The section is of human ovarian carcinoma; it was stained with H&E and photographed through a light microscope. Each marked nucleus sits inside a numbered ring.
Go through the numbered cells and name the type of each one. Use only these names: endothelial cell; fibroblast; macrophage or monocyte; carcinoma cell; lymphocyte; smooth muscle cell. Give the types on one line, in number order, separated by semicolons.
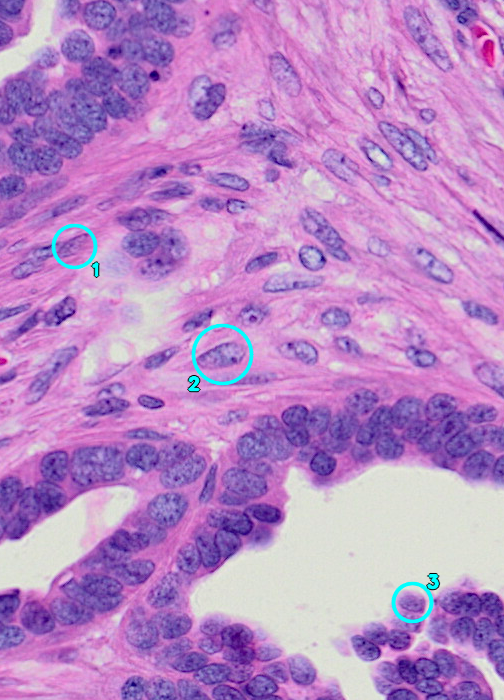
fibroblast; fibroblast; carcinoma cell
